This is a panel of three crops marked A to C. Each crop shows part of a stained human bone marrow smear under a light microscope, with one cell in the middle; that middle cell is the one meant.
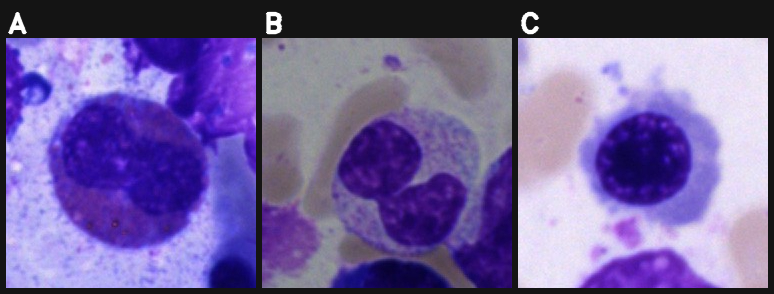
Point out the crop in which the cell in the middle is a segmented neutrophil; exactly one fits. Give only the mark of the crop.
B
